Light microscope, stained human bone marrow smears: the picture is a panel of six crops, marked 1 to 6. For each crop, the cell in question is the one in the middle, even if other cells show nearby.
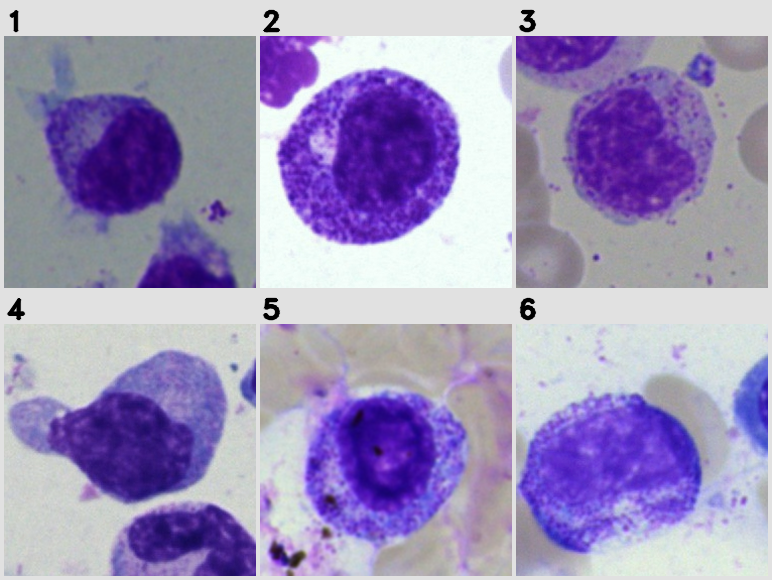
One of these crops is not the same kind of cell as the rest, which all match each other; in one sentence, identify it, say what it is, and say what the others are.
Whereas the other crops show myelocytes, crop 4 is a monocyte.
